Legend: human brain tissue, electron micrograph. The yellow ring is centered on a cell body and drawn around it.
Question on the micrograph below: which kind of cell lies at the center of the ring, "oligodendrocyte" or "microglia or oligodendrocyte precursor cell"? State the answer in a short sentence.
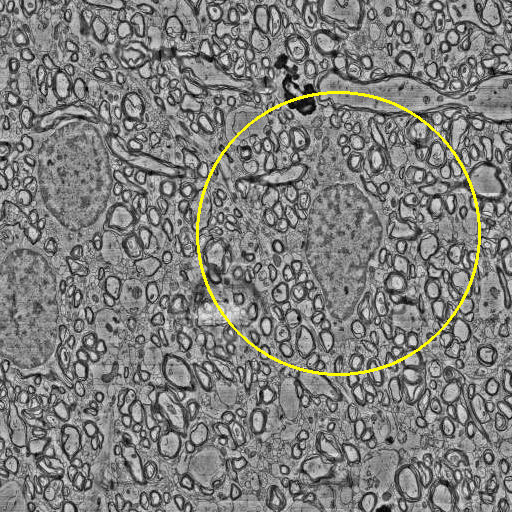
At the center of the ring lies an oligodendrocyte.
